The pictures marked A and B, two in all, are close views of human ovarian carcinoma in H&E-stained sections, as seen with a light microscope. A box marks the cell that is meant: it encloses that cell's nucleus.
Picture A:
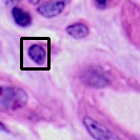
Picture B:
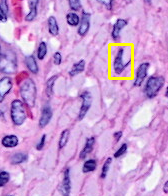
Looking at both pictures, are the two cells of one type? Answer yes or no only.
no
